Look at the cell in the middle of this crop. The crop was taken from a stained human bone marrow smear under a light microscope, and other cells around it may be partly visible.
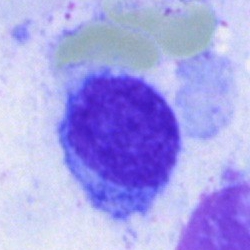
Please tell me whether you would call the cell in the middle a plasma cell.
no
